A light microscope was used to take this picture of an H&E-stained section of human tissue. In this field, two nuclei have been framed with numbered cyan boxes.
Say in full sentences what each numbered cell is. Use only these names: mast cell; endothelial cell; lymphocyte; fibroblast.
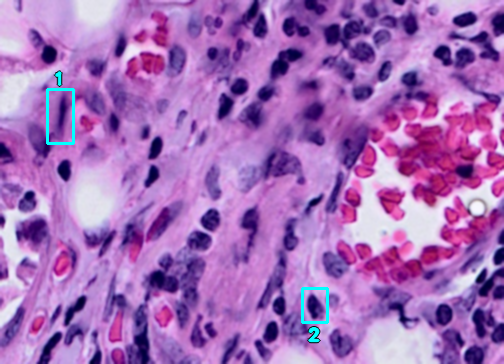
Cell 1 is an endothelial cell. Cell 2 is a lymphocyte.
